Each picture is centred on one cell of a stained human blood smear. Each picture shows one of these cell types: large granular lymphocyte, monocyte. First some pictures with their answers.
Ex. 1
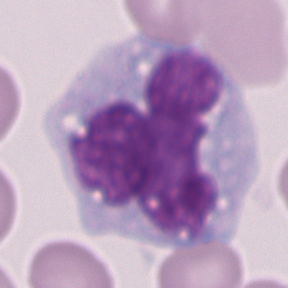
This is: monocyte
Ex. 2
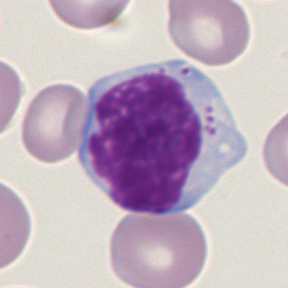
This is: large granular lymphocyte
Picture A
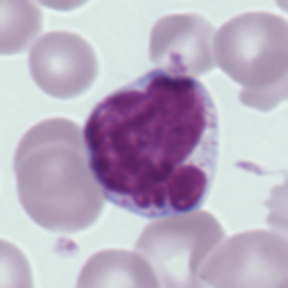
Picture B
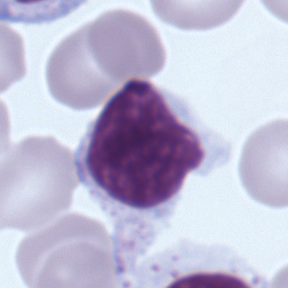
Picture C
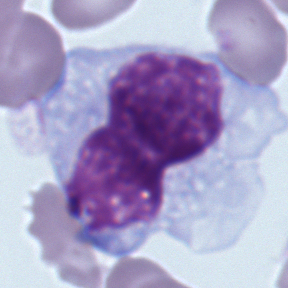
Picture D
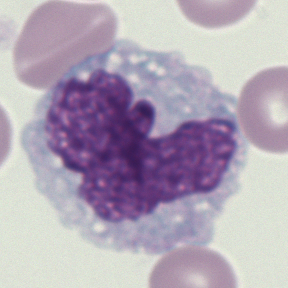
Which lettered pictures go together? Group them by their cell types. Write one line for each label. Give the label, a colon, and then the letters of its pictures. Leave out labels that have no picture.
large granular lymphocyte: A, B
monocyte: C, D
